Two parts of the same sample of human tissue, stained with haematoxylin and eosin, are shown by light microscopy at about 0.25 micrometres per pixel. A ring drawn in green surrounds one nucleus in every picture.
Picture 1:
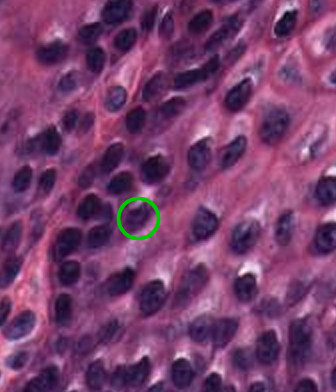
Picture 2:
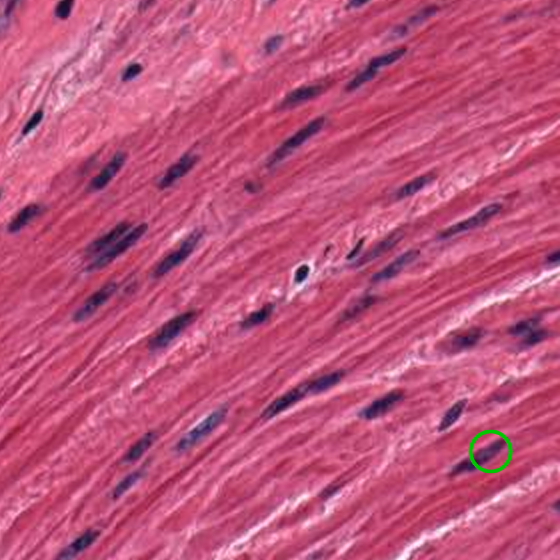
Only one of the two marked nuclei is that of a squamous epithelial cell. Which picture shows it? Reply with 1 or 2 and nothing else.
1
